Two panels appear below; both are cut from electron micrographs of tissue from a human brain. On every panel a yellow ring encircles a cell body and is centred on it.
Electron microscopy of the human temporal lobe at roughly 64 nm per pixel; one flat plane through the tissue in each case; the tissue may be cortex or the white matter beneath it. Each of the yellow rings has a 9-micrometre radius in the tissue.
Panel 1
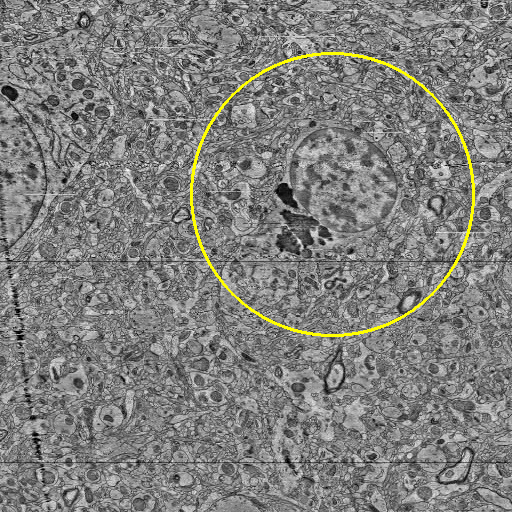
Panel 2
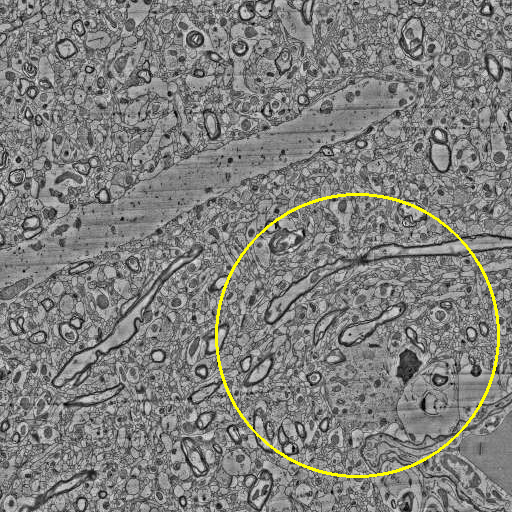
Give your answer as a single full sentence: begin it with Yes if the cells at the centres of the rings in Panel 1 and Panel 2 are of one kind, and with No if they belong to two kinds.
Yes, the cells in the middle of the rings in Panels 1 and 2 are of one kind.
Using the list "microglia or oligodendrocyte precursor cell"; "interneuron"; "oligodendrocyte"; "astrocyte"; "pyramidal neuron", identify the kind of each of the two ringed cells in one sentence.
The first and the second cell are each an oligodendrocyte.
